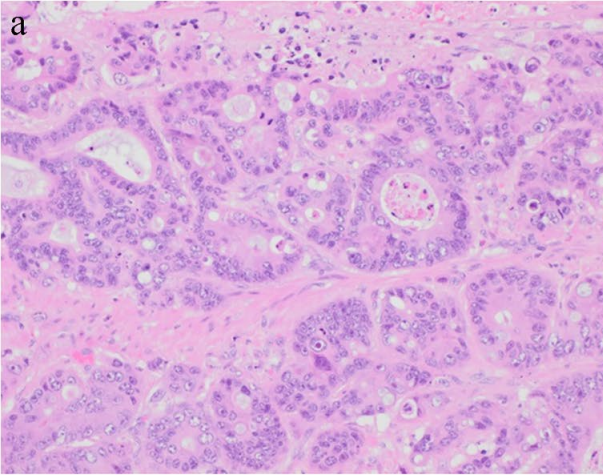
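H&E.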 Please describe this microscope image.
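This is an adenocarcinoma: malignant epithelial cells grow as irregular glands and cribriform nests set in pink fibrous stroma. The tumour cells are columnar to cuboidal, lining small and larger lumens, some containing pale secretion or debris. Their nuclei are enlarged, oval, crowded and stratified, with open chromatin and distinct nucleoli, and the cytoplasm is moderately pink. Between the nests run bands of collagenous stroma with scattered spindle cells. The glands are back to back and irregular, quite unlike orderly normal glands.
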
